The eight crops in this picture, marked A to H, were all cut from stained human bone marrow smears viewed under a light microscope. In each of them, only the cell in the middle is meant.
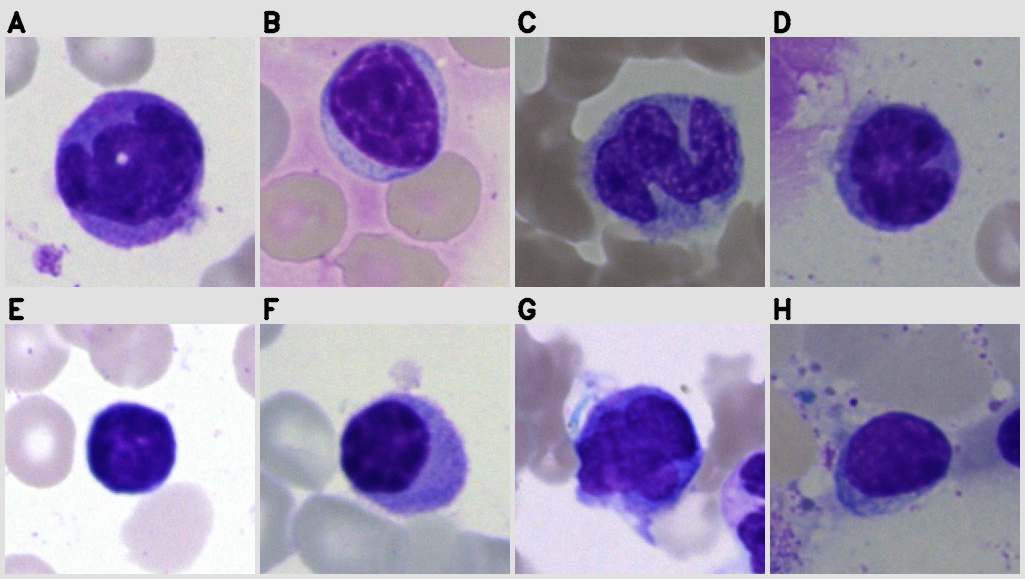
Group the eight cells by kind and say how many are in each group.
monocyte: 4
lymphocyte: 4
